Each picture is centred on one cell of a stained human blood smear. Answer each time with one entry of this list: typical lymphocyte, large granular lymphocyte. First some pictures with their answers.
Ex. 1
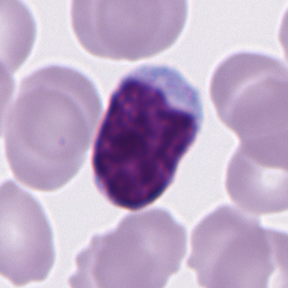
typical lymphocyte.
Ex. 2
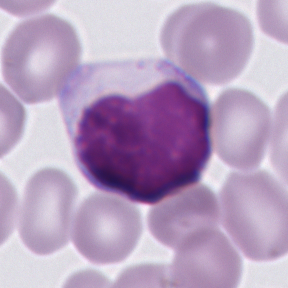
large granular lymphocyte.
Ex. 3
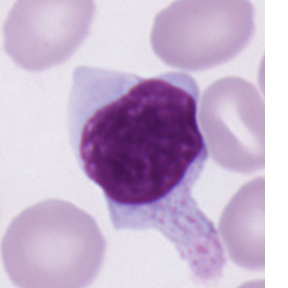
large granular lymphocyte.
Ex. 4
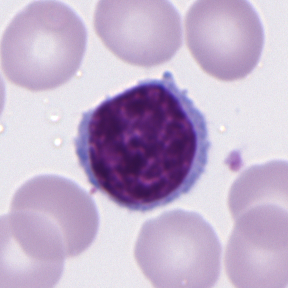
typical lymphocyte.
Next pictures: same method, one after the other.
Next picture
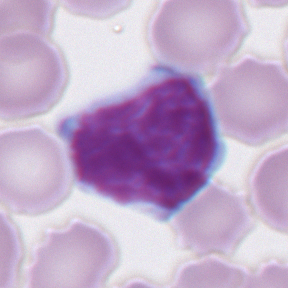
typical lymphocyte.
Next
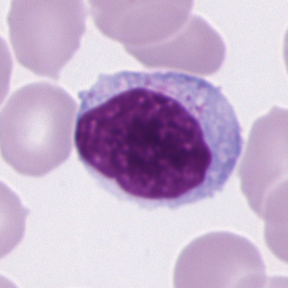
large granular lymphocyte.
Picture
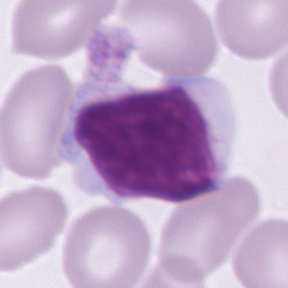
large granular lymphocyte.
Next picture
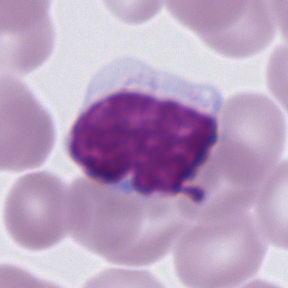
large granular lymphocyte.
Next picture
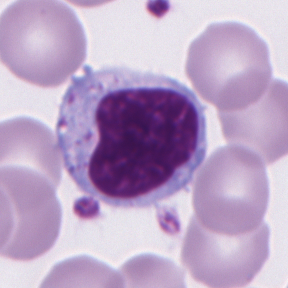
large granular lymphocyte.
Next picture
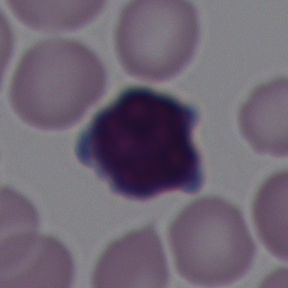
typical lymphocyte.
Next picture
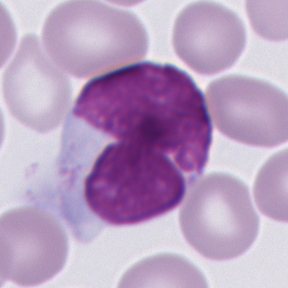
large granular lymphocyte.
